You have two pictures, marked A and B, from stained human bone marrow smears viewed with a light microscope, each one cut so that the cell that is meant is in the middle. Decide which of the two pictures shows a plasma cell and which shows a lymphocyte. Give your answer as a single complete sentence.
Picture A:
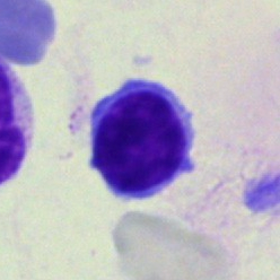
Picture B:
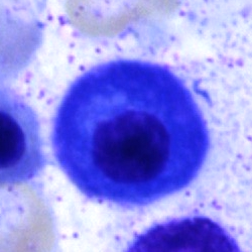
In picture A the cell is a lymphocyte; in picture B, a plasma cell.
